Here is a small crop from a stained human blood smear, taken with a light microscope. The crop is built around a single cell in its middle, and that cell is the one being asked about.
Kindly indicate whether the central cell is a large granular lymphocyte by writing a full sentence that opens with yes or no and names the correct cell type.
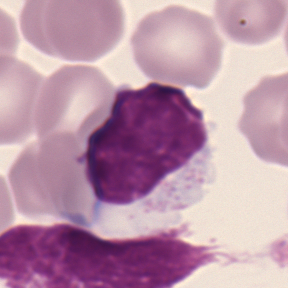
Yes, the cell at the middle of the field is to be classed as a large granular lymphocyte.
